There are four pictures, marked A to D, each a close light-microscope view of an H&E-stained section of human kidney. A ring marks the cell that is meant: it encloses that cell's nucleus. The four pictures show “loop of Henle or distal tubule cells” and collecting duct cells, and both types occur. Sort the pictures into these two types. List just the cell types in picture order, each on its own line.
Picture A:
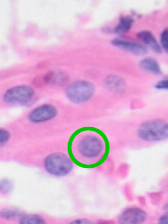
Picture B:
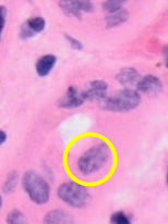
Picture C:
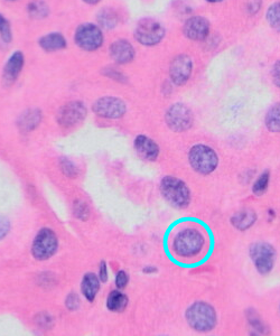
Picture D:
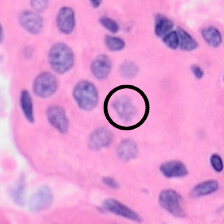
loop of Henle or distal tubule cell
collecting duct cell
loop of Henle or distal tubule cell
loop of Henle or distal tubule cell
